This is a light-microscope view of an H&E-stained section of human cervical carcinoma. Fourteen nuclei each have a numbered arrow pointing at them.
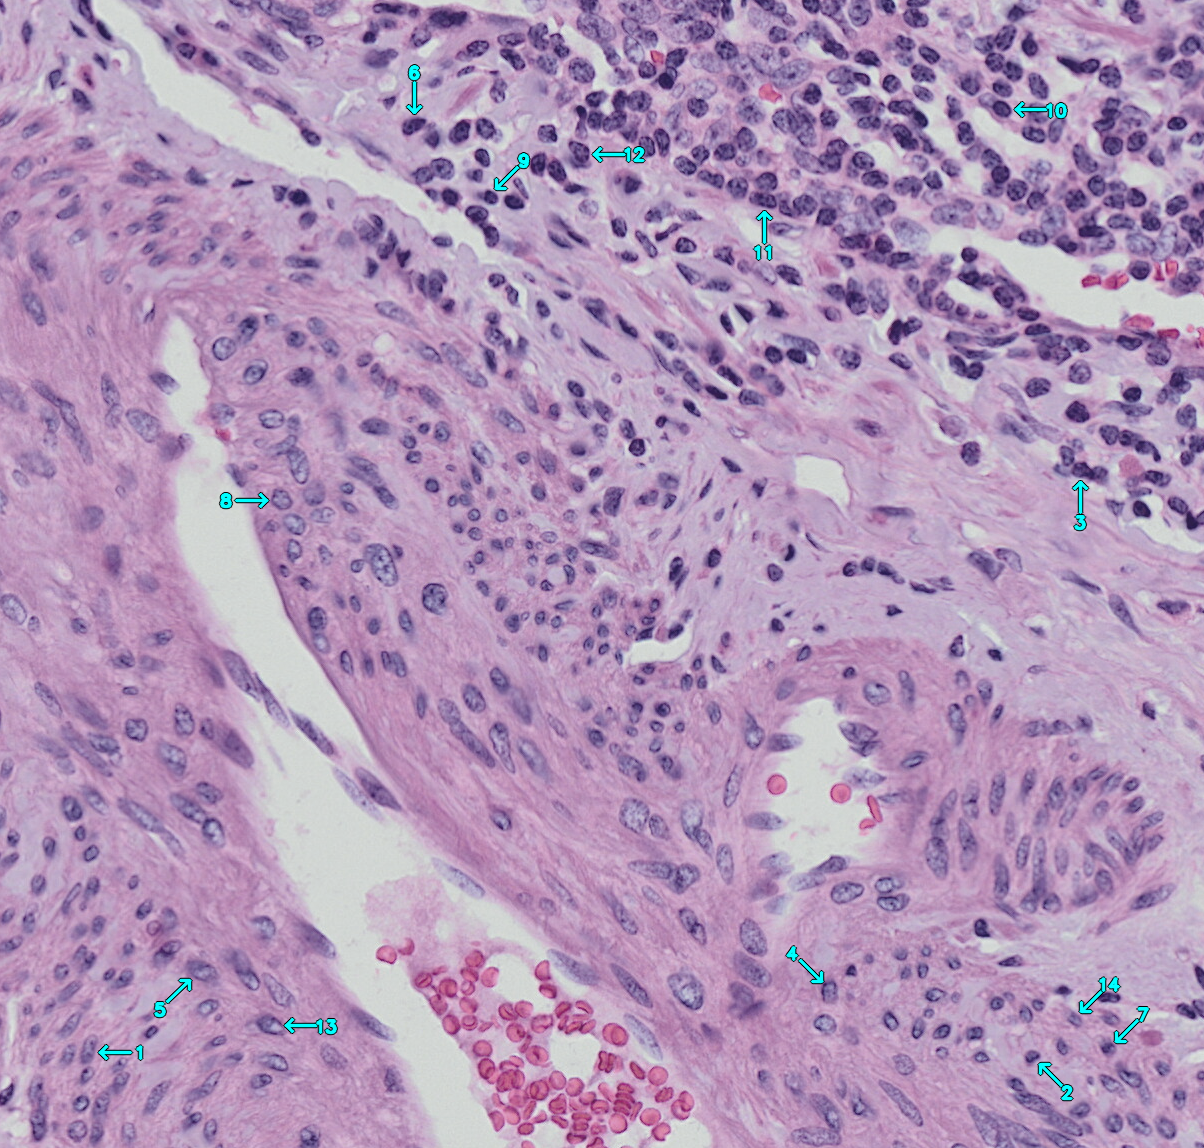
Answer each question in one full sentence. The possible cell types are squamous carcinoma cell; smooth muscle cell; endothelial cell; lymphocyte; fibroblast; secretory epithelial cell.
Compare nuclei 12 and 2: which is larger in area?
It is nucleus 12, which covers about 3 times the area of nucleus 2.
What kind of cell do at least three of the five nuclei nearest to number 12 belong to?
Around number 12, most of the five nearest nuclei are those of lymphocytes.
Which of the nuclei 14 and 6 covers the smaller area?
Nucleus 14 covers less area, with nucleus 6 about 2 times as large.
